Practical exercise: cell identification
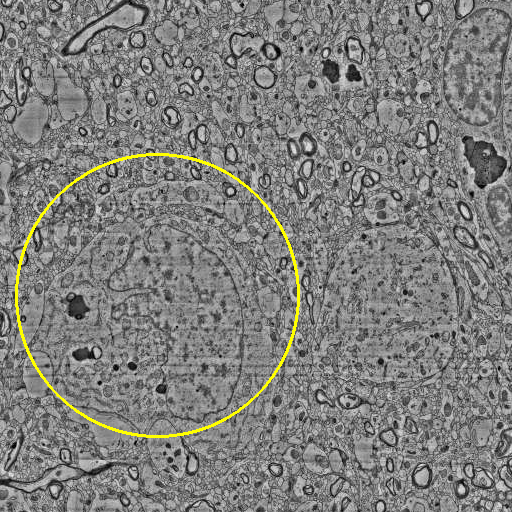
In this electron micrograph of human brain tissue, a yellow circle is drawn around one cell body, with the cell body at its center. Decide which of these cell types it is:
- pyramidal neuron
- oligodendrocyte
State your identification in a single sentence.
The ringed cell is a pyramidal neuron.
